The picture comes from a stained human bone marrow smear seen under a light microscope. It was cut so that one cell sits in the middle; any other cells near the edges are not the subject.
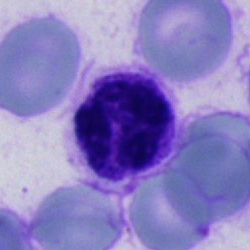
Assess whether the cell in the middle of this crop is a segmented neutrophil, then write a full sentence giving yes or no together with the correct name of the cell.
Yes, the middle cell is classified as a segmented neutrophil.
